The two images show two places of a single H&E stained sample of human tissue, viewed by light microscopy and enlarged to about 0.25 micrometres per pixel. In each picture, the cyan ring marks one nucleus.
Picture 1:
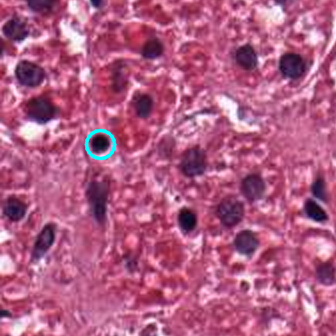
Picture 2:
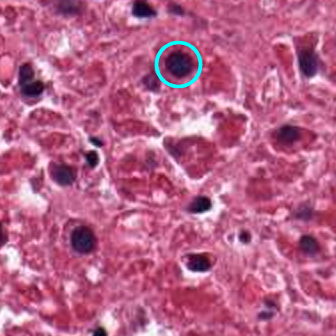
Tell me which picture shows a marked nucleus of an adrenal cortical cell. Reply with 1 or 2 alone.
2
